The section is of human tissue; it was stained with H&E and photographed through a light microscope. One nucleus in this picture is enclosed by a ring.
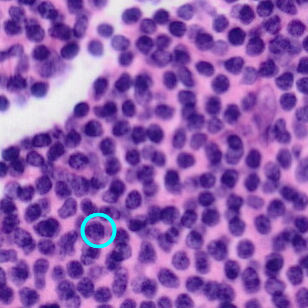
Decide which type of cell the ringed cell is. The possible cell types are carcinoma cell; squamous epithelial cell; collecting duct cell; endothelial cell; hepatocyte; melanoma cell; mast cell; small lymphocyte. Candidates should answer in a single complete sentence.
In this tissue sample, the ringed cell is a small lymphocyte.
